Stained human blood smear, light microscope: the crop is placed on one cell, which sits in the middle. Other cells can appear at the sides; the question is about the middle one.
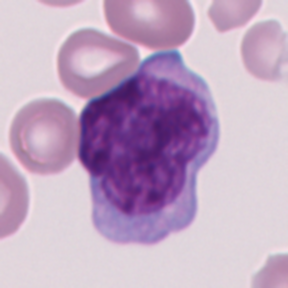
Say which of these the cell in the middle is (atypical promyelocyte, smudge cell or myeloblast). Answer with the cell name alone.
atypical promyelocyte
